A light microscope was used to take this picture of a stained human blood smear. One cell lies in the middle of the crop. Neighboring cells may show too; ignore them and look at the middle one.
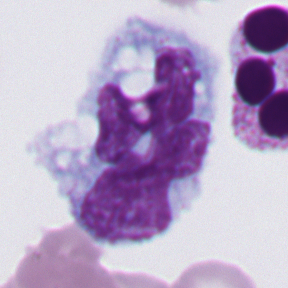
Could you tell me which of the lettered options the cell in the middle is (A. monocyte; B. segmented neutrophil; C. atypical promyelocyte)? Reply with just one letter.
A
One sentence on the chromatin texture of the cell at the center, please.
The chromatin is delicate and fine, lacking coarse clumping entirely.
